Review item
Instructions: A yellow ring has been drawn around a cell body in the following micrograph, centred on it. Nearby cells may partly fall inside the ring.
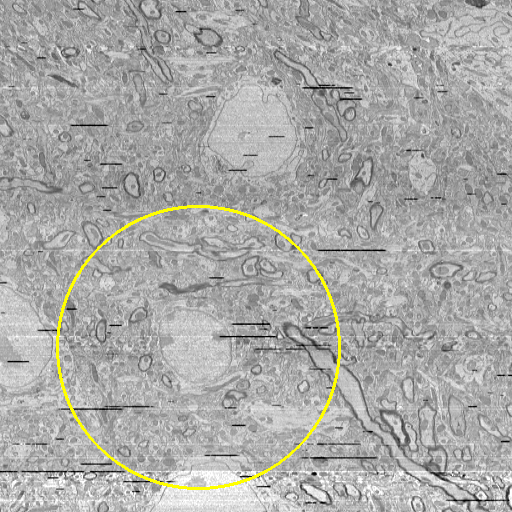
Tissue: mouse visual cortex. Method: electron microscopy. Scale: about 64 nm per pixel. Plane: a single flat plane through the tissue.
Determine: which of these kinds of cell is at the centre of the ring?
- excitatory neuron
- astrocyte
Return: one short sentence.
The cell body in the middle of the ring is that of an astrocyte.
